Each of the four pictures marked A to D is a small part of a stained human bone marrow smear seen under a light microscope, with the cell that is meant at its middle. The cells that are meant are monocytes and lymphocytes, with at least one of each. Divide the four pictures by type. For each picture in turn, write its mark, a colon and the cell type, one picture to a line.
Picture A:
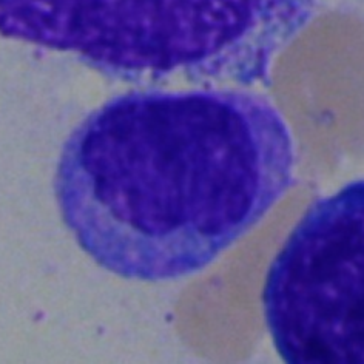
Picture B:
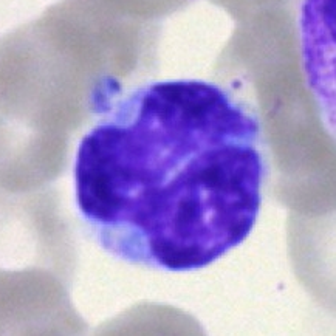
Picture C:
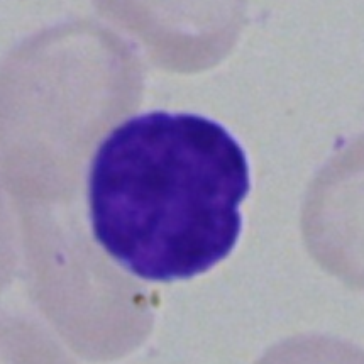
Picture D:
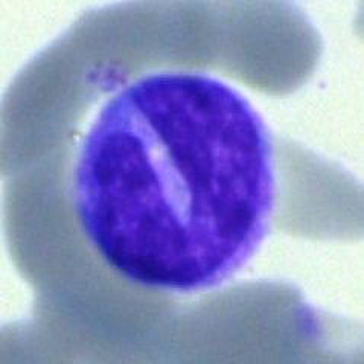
A: monocyte
B: monocyte
C: lymphocyte
D: monocyte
